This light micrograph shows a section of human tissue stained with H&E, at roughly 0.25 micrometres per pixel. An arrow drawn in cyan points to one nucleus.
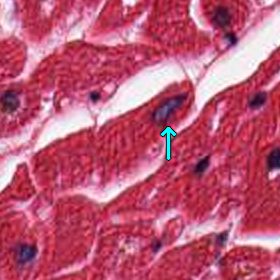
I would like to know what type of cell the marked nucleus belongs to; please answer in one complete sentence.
The nucleus marked in this picture belongs to a cardiomyocyte.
